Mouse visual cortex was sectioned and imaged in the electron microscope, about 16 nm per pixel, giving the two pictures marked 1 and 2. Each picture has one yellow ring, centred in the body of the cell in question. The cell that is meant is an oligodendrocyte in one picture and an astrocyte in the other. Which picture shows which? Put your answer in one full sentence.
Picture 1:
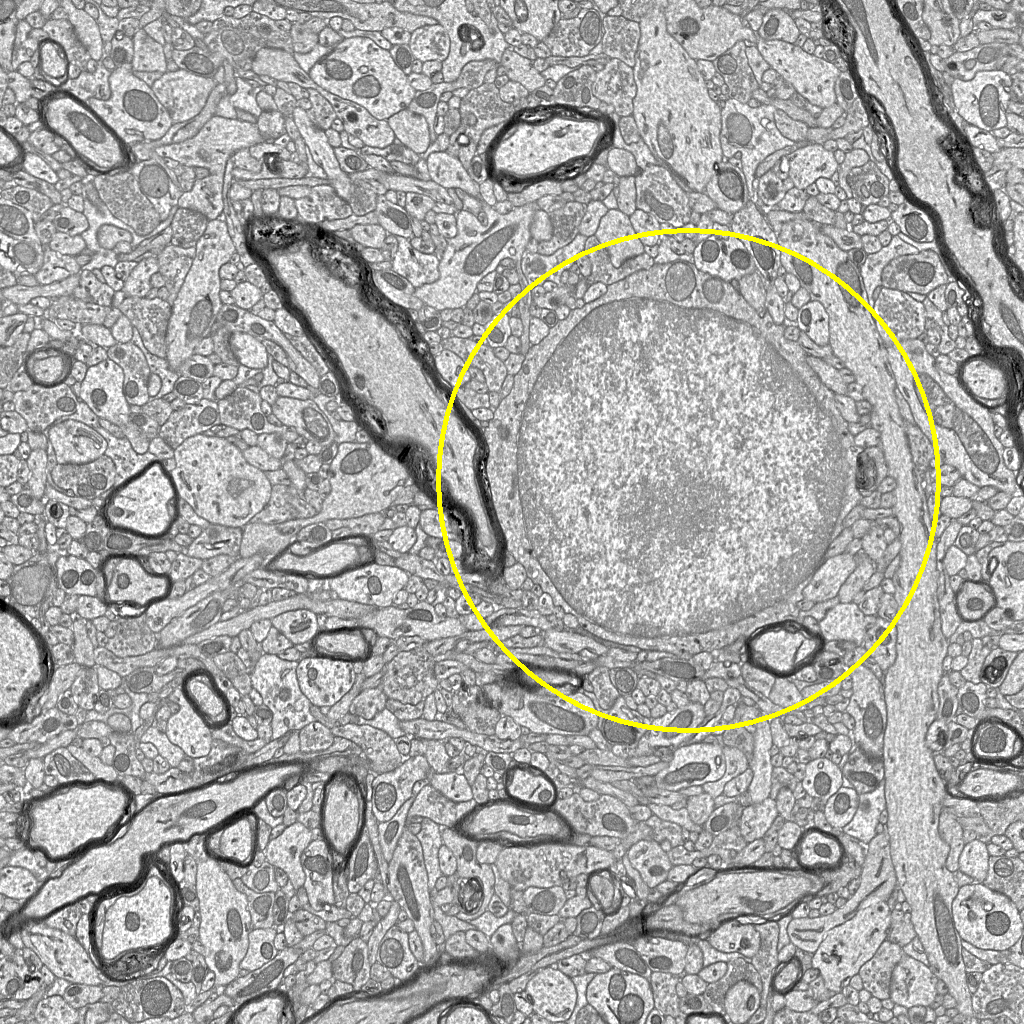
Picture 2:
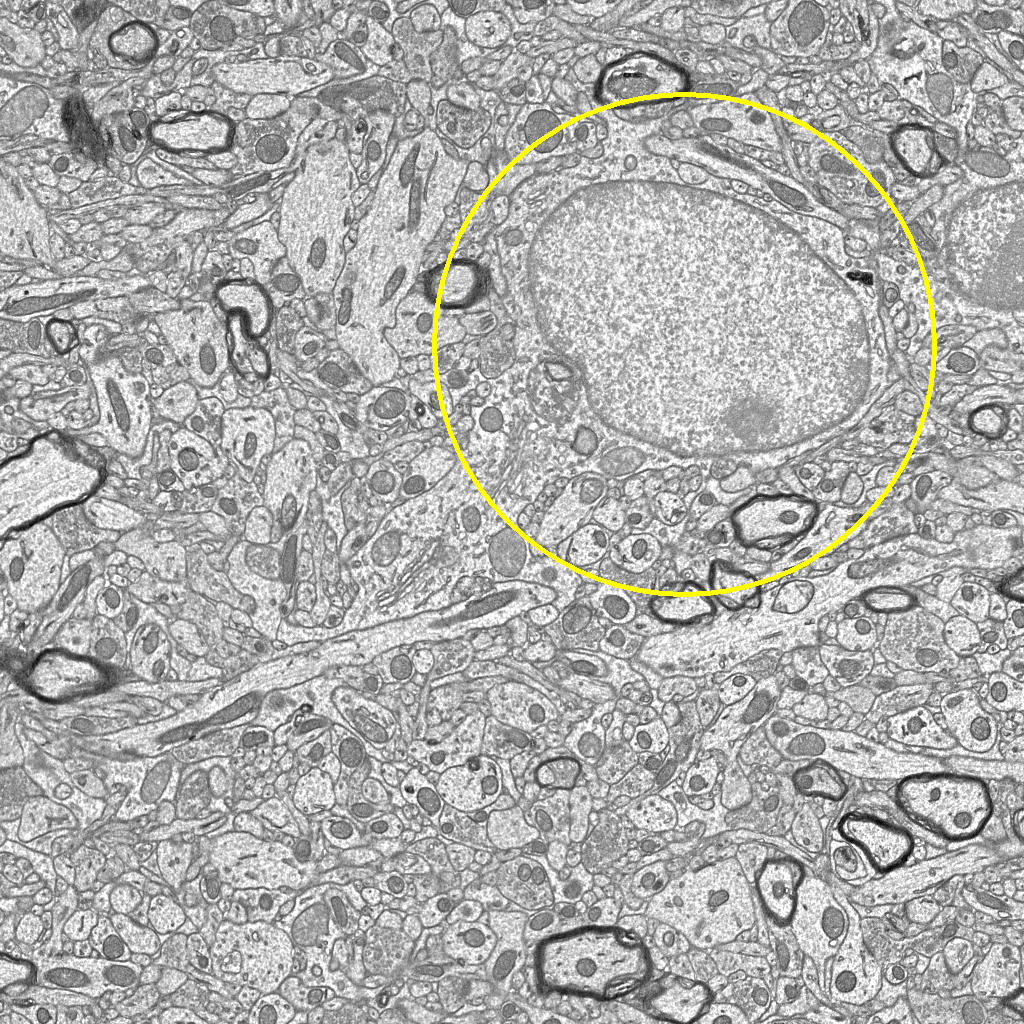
Picture 2 shows an astrocyte, while picture 1 shows an oligodendrocyte.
